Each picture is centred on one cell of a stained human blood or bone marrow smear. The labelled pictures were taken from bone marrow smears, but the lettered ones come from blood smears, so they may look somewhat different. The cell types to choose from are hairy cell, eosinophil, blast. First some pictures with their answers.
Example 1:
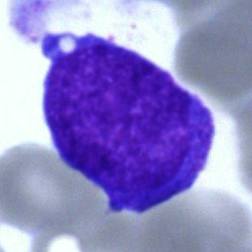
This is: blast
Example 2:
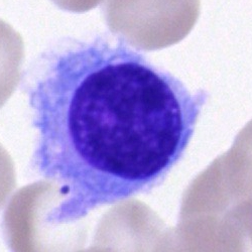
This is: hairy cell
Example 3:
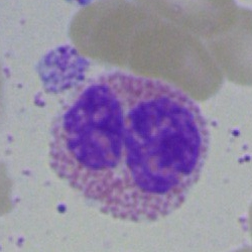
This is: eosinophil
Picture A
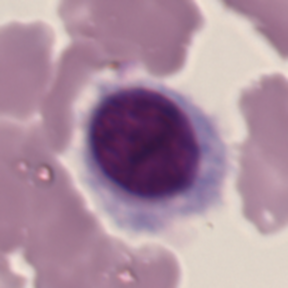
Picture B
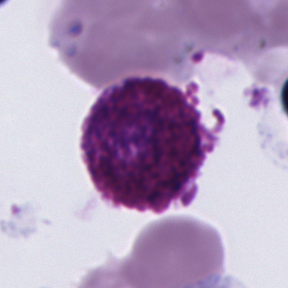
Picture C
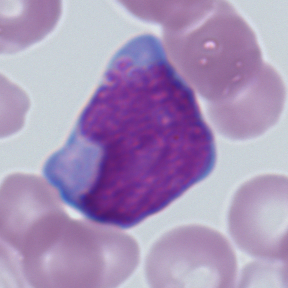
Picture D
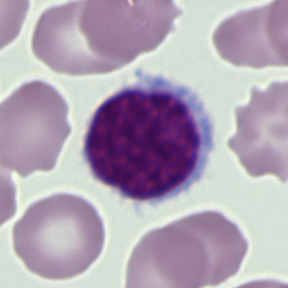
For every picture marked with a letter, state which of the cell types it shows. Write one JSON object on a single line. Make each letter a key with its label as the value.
{"A": "hairy cell", "B": "eosinophil", "C": "blast", "D": "hairy cell"}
